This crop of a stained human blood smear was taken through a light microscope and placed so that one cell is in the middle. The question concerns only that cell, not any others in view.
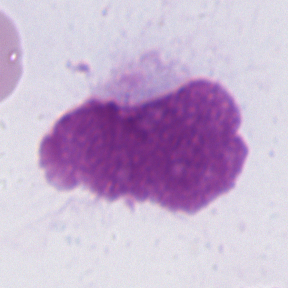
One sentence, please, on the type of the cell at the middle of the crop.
The cell of interest, located centrally, is a smudge cell.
